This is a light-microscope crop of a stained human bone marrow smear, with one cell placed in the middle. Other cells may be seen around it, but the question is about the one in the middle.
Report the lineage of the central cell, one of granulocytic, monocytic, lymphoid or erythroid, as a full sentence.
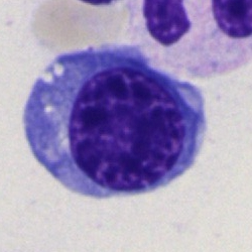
The cell centered in the crop is included in the erythroid lineage.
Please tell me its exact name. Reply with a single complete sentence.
To answer, the cell in the center of the crop is an erythroblast.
